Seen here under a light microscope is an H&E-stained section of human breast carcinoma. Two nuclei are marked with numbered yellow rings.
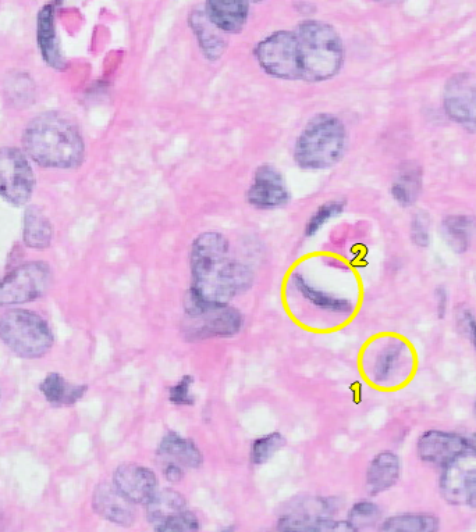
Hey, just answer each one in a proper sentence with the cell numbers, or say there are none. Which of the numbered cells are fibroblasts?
Cell 1 is the single numbered cell that is a fibroblast.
